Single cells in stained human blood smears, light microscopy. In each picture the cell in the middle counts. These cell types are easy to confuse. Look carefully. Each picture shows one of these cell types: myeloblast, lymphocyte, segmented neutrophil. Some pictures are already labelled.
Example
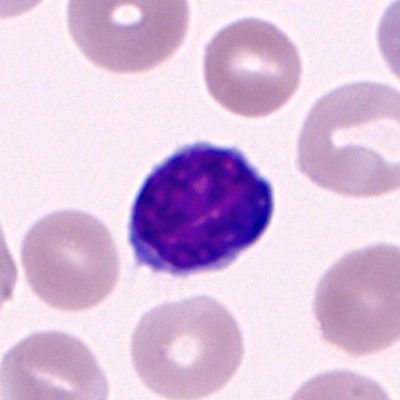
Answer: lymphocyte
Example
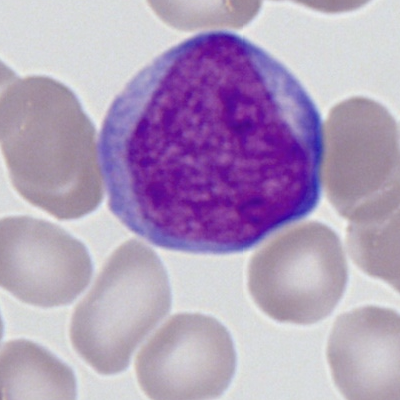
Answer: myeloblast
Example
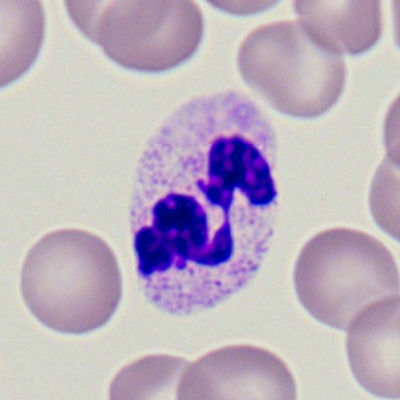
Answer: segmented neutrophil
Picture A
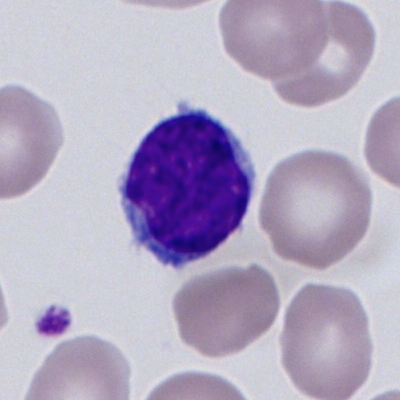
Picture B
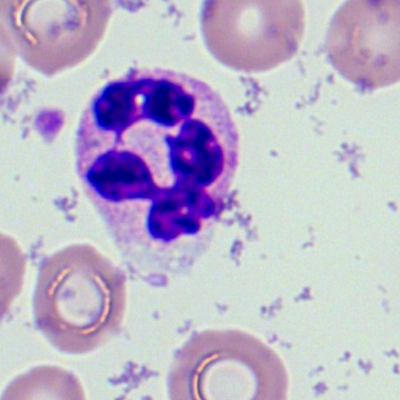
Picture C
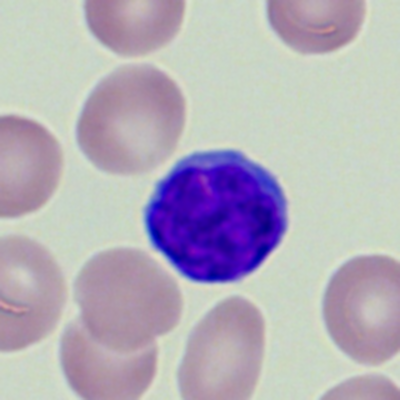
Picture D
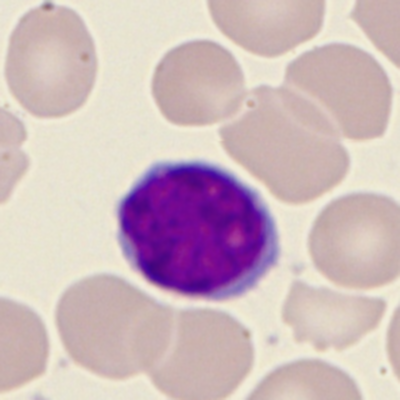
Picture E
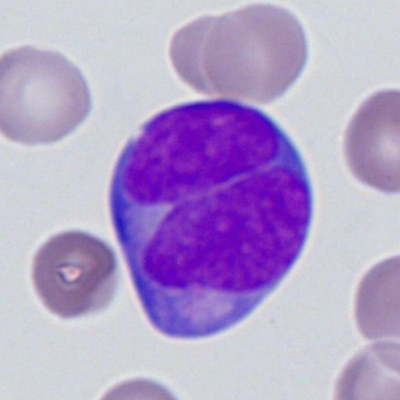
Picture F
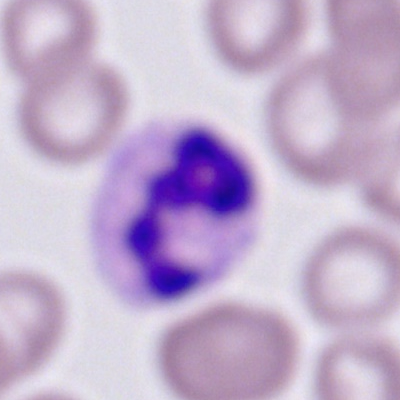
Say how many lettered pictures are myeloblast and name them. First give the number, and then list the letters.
1, namely E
